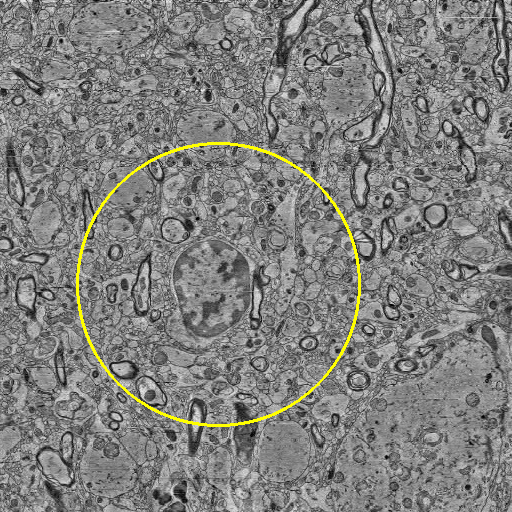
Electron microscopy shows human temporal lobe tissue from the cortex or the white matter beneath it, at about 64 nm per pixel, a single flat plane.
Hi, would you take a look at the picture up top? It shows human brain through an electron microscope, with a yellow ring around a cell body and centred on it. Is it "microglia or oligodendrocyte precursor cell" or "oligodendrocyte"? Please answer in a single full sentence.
The best fit for the cell in the middle of the ring is a microglial cell or oligodendrocyte precursor cell, I reckon.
